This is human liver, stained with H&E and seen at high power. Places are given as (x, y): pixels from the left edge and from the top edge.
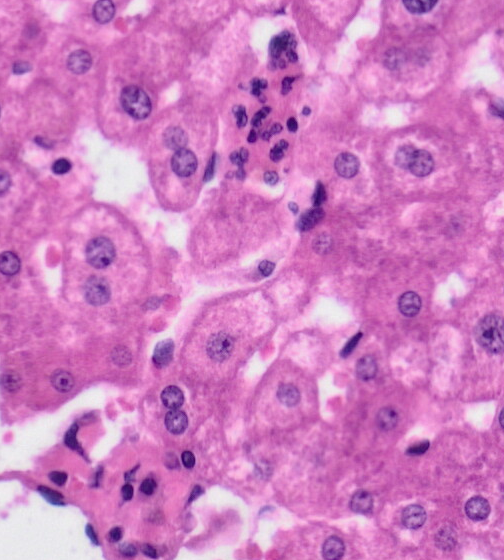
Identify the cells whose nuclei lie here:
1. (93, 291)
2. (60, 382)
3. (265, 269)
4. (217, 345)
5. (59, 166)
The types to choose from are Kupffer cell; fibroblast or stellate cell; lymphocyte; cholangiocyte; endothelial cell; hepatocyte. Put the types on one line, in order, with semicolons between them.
hepatocyte; hepatocyte; Kupffer cell; hepatocyte; lymphocyte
